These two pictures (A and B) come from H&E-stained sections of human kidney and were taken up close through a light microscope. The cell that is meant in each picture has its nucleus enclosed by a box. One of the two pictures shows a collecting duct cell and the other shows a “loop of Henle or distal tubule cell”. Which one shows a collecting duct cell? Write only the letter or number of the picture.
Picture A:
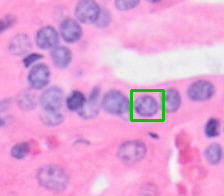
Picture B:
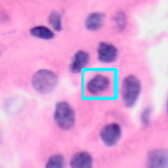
A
